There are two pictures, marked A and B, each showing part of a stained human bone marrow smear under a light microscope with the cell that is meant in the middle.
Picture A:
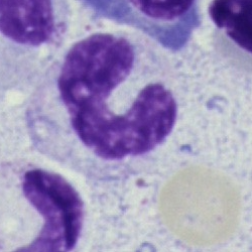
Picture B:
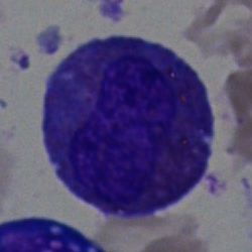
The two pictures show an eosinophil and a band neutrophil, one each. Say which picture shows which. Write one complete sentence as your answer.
Picture B shows an eosinophil, while picture A shows a band neutrophil.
